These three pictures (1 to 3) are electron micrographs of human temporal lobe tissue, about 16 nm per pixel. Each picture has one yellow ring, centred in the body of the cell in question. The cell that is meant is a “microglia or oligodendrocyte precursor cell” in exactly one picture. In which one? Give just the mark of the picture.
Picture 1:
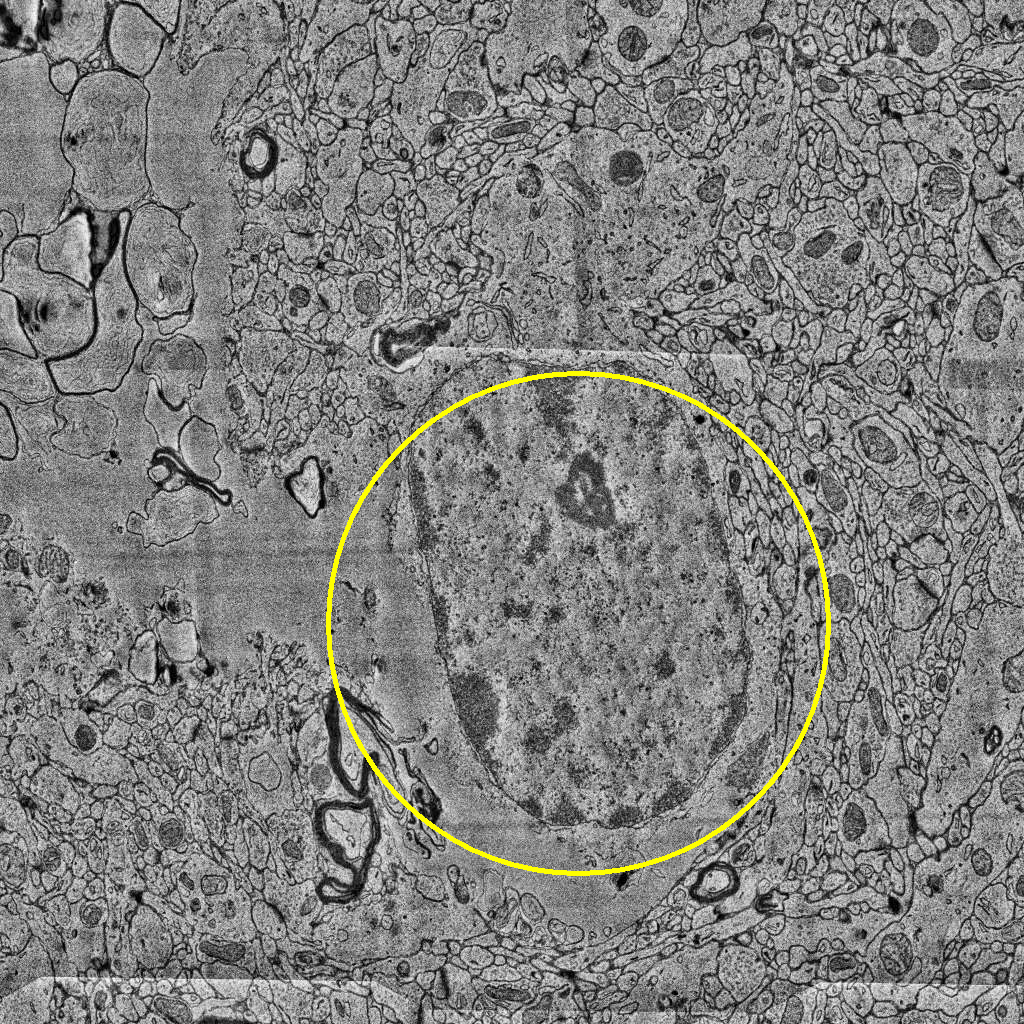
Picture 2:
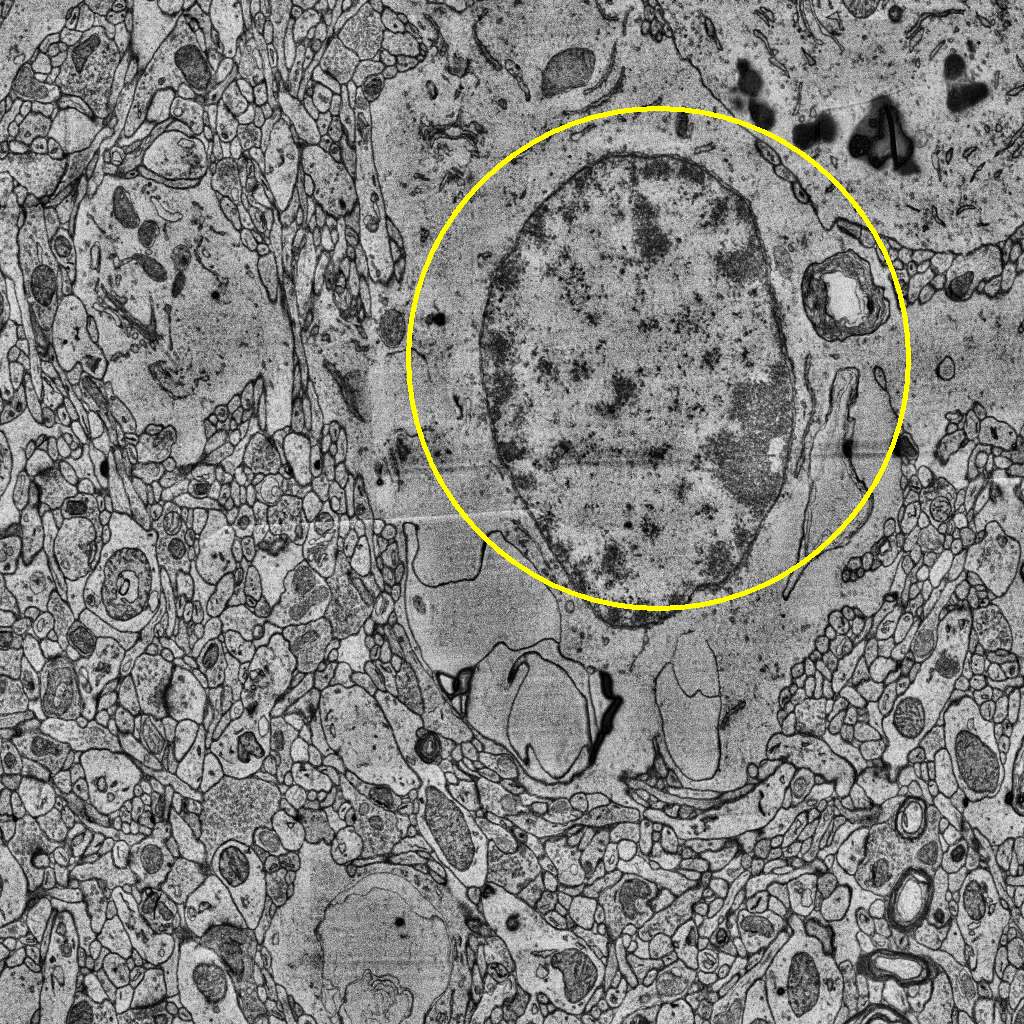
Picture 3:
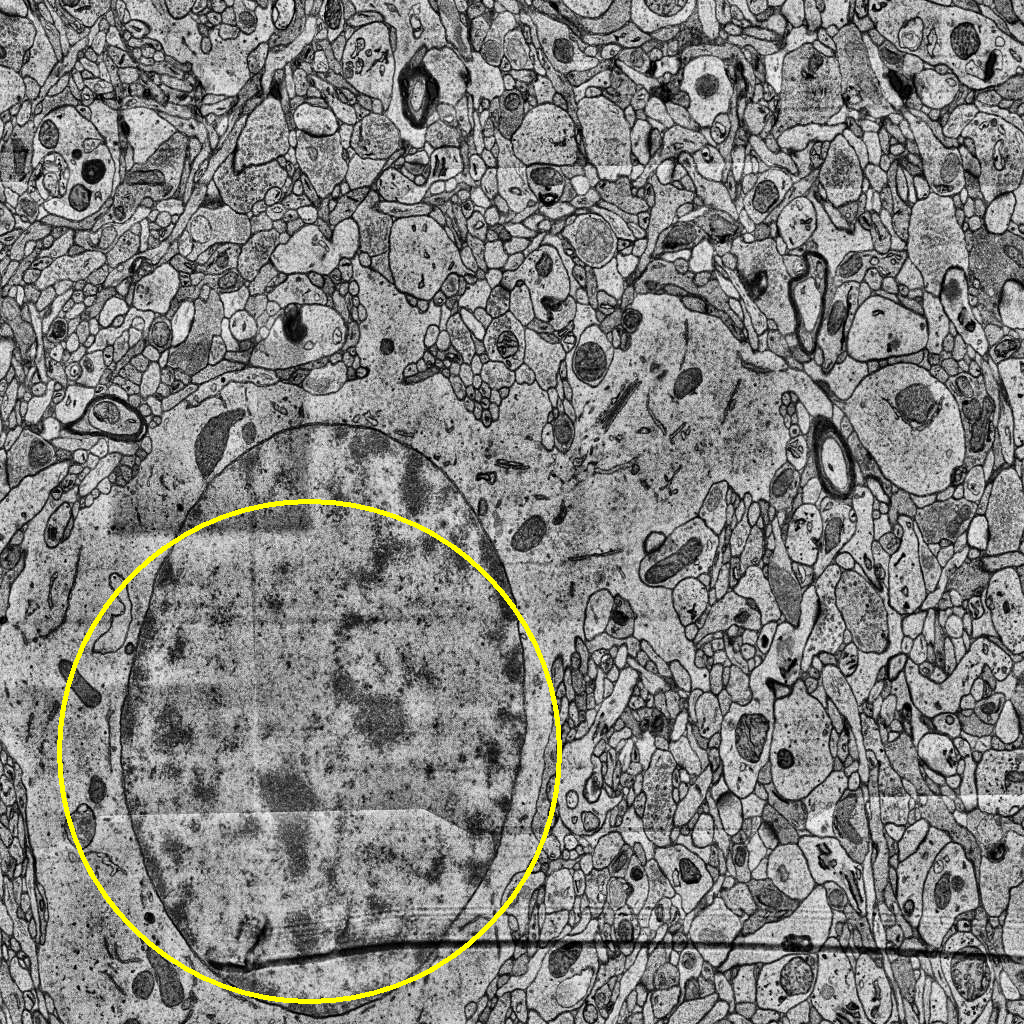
1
